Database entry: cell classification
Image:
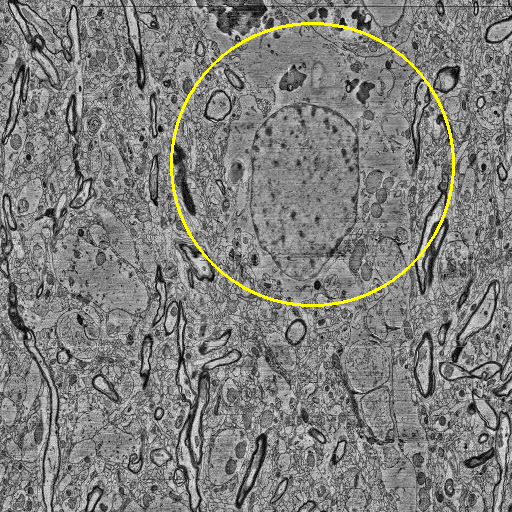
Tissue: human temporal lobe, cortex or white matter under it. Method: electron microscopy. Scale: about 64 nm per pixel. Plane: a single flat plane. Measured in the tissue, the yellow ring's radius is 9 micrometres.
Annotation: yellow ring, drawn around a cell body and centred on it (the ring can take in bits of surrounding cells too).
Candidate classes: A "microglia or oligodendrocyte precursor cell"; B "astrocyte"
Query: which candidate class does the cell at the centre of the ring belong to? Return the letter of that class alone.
B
